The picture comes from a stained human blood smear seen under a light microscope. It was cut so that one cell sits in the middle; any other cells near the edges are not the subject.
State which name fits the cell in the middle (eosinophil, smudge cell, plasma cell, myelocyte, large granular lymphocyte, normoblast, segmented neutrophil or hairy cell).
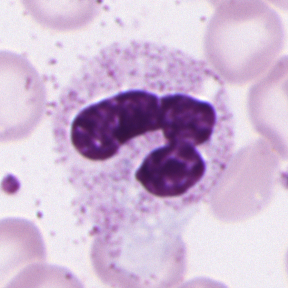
segmented neutrophil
